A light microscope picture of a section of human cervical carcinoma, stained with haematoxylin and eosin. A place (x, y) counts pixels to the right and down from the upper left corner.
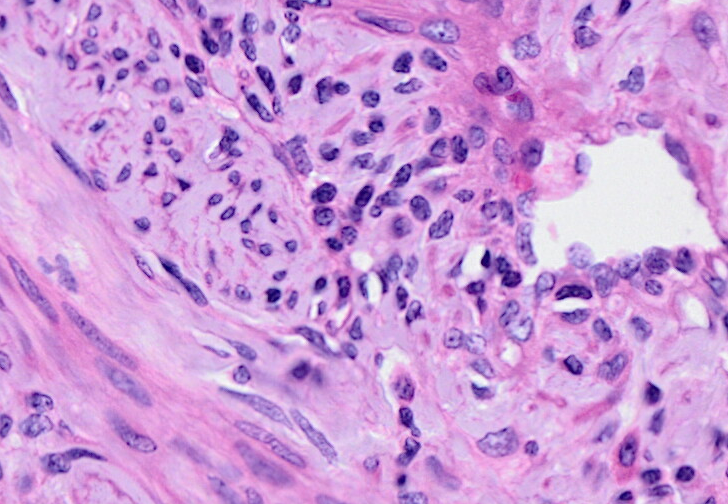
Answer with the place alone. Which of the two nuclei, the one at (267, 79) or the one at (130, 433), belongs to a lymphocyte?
(267, 79)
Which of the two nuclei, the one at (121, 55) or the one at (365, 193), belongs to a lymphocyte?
(365, 193)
